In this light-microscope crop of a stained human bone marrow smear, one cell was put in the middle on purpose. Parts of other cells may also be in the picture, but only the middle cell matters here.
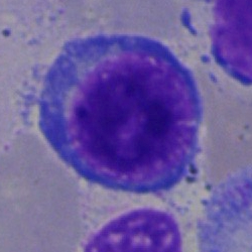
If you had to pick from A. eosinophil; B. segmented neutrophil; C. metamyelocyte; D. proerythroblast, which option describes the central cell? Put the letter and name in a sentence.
The cell placed in the middle is a proerythroblast; option D is correct.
